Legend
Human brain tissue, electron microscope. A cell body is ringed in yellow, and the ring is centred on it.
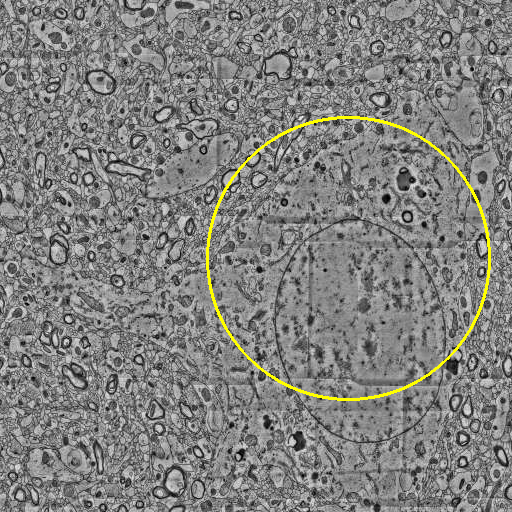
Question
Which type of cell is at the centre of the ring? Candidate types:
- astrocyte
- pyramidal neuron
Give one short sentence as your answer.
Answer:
The yellow ring is centred here on a pyramidal neuron.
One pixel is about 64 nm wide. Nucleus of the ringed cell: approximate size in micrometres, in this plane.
The nucleus works out at approximately 15 by 11 micrometres in this plane.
